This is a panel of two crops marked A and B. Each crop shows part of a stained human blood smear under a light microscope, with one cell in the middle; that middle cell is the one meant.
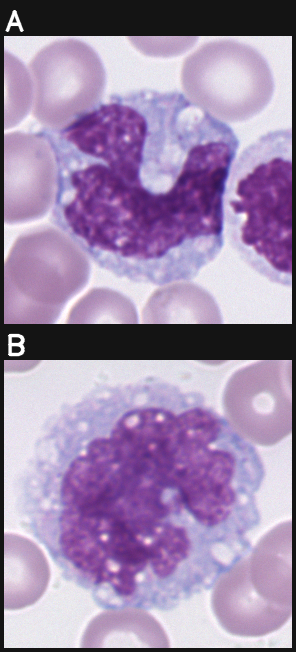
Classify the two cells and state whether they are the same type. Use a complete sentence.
Yes, both crops show monocytes in the centre of the field.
